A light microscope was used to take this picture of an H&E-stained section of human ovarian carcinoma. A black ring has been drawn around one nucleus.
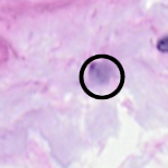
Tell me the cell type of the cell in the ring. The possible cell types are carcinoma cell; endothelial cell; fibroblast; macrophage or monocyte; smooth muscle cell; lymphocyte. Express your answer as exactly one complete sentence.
The cell type represented by the cell in the ring is that of a fibroblast.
